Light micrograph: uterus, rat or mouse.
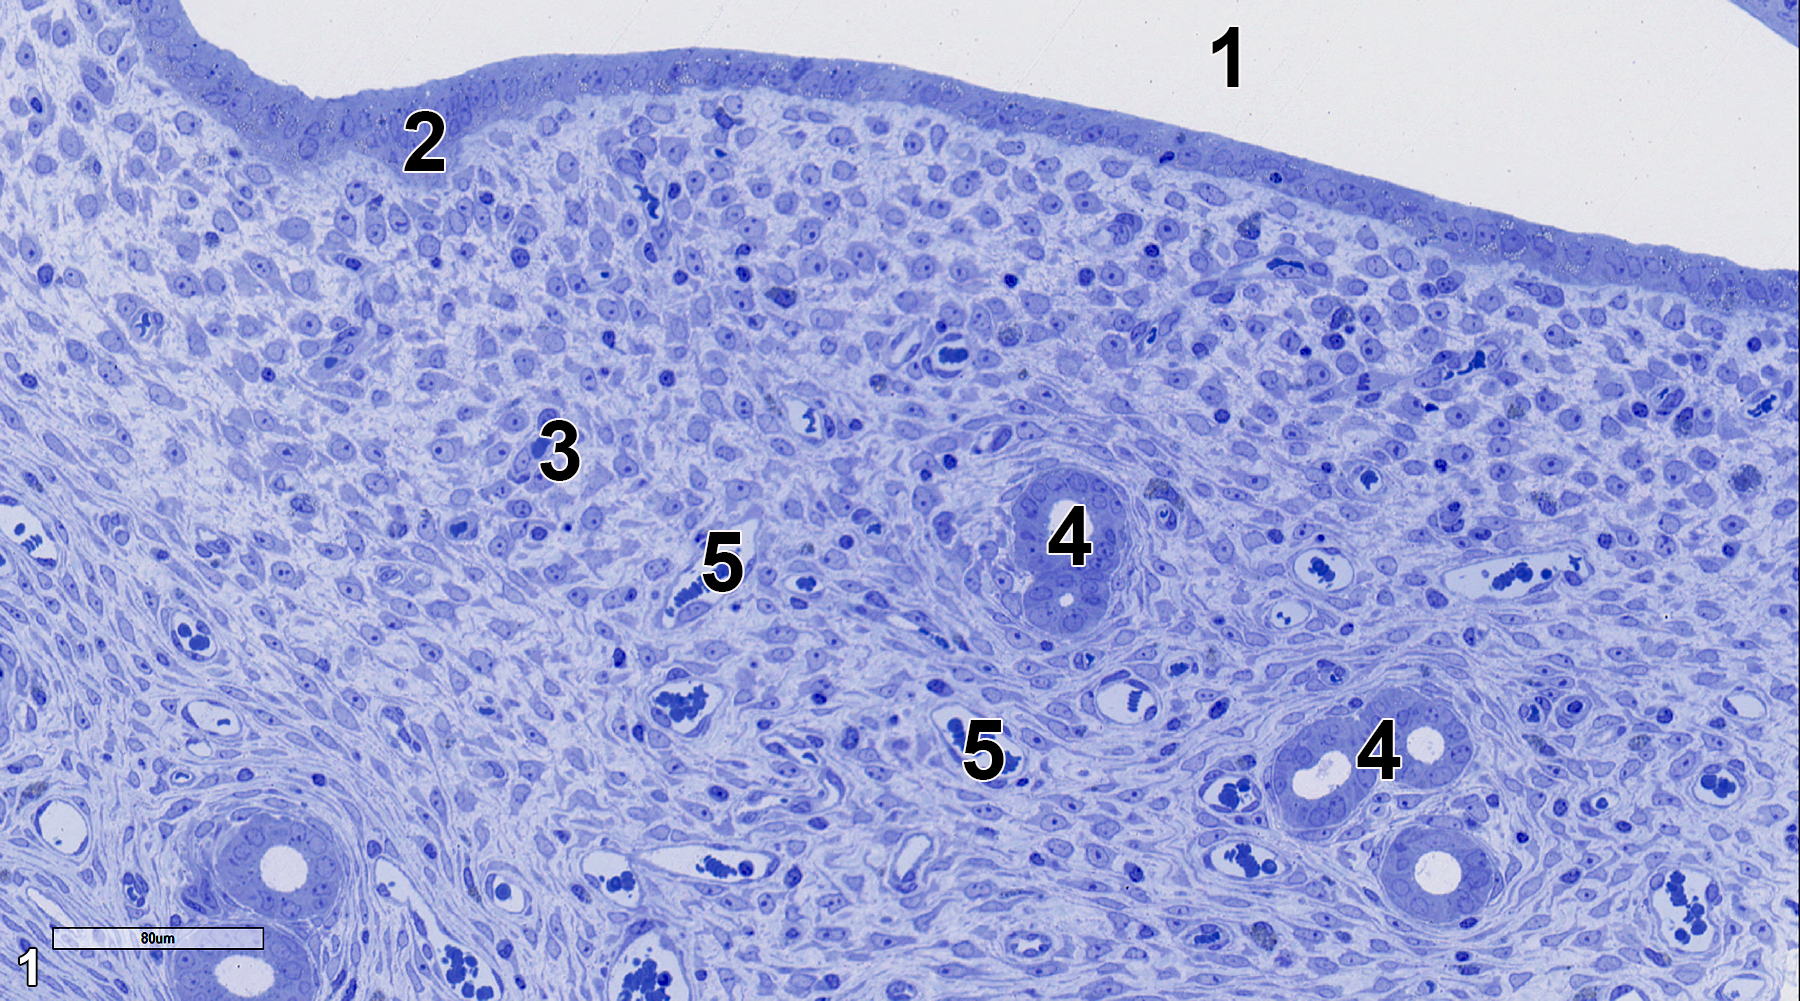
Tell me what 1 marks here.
Uterine lumen.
